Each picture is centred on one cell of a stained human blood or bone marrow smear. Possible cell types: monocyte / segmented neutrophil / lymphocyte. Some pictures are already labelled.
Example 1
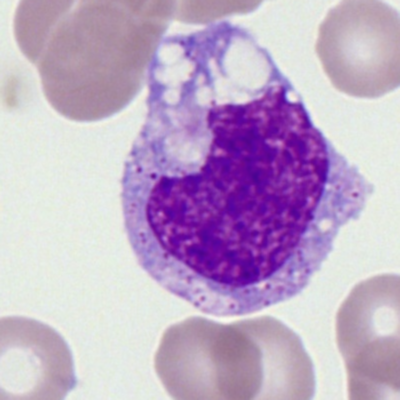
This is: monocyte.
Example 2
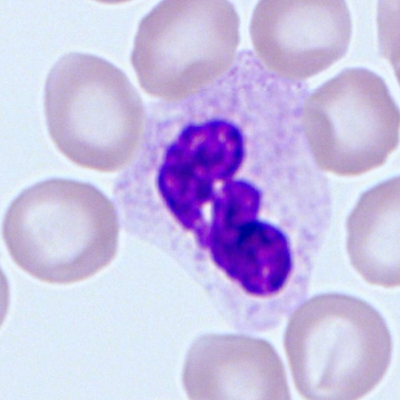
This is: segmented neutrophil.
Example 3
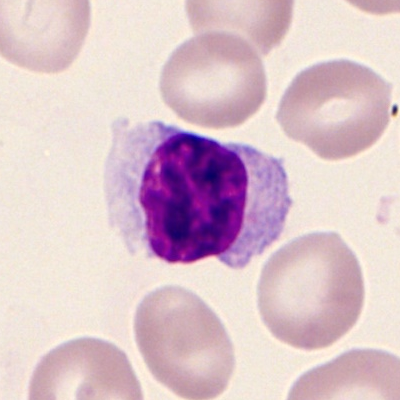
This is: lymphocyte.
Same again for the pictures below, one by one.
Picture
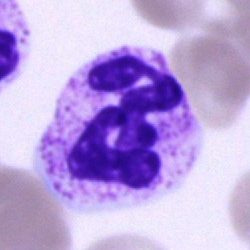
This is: segmented neutrophil.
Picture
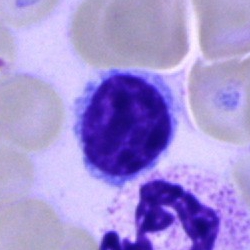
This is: lymphocyte.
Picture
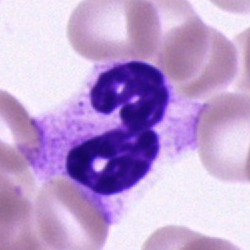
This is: segmented neutrophil.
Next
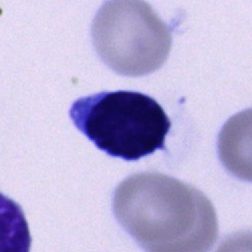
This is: lymphocyte.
